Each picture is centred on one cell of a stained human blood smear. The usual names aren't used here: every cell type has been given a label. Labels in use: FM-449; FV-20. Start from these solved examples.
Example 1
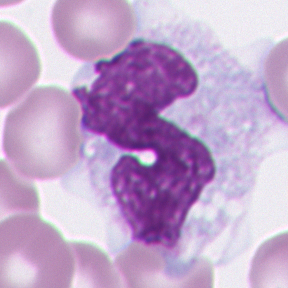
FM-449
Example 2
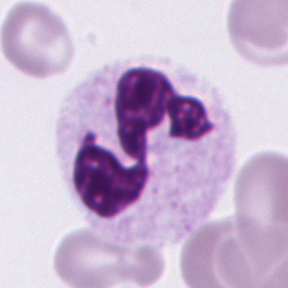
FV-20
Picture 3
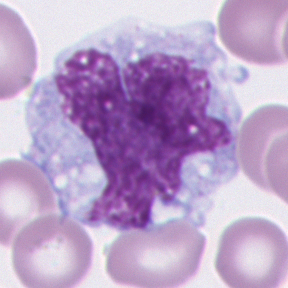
FM-449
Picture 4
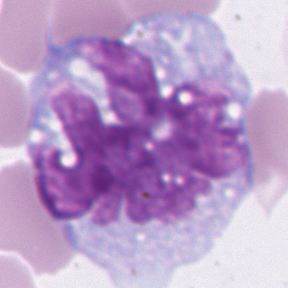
FM-449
